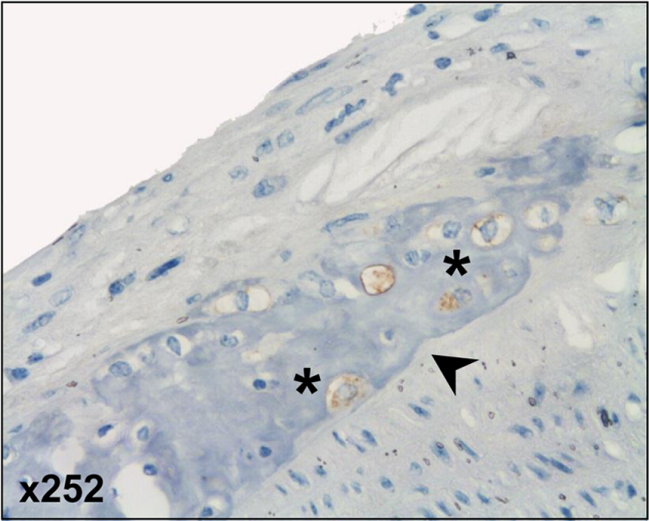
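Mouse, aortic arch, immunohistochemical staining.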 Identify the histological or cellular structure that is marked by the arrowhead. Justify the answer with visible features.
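The arrowhead sits on a sharp diagonal boundary line. Below and right of the line lie layered, elongated spindle nuclei in parallel rows. Above and left of the line lies a looser, bluish, irregular cell-containing layer. So: The demarcation between intima and media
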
